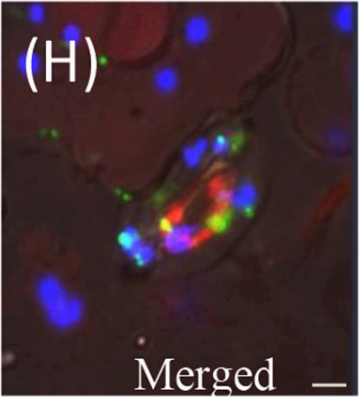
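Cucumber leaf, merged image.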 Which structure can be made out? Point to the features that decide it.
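A pair of curved cells encloses a central slit-like opening. The pair is surrounded by larger irregular epidermal cells in the transmitted-light overlay.
Stomata.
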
